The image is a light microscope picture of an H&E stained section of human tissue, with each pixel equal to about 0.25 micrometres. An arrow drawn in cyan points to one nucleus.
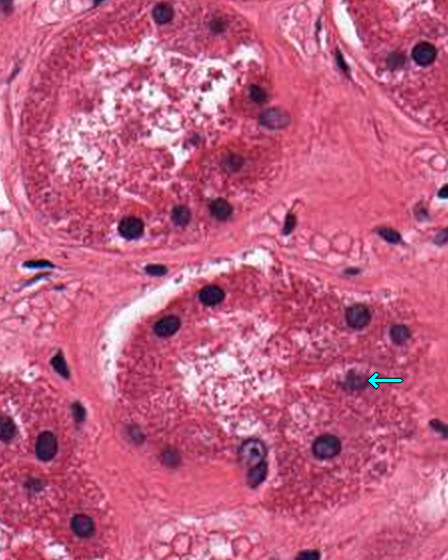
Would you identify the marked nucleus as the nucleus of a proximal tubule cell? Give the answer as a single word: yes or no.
yes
